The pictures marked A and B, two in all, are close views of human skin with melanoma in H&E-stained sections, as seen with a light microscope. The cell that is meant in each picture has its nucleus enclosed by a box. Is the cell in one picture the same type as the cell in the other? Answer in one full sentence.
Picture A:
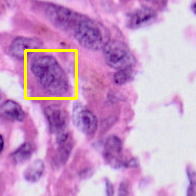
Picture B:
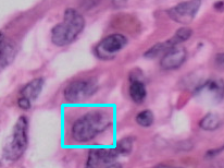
Yes, they are the same type: both are melanoma cells.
